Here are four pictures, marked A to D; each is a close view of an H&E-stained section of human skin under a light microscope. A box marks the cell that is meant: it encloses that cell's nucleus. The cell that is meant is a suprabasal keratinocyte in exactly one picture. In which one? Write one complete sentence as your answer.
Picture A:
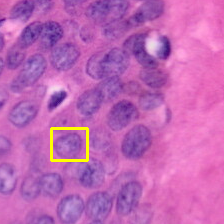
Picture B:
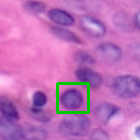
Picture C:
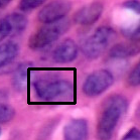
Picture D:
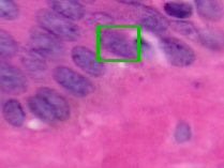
The suprabasal keratinocyte is the one in picture A.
